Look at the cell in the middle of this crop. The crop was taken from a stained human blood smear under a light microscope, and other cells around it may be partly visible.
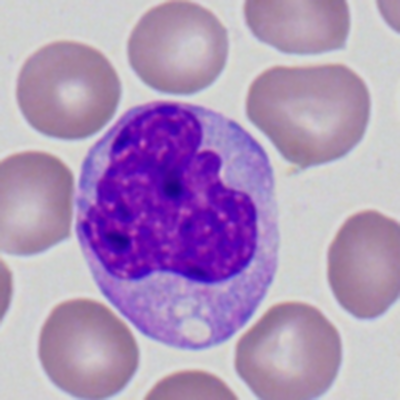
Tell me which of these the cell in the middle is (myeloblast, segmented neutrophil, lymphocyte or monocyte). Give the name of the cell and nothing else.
monocyte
